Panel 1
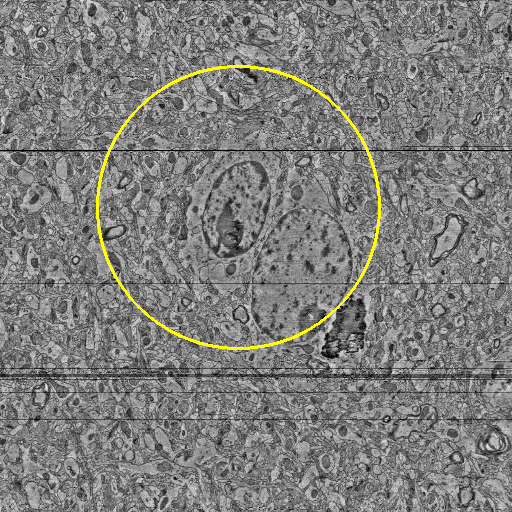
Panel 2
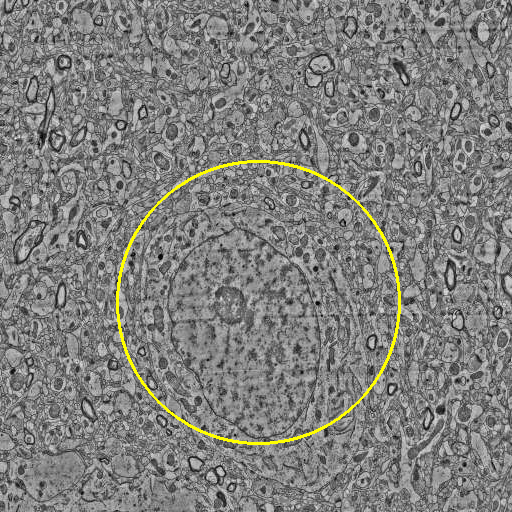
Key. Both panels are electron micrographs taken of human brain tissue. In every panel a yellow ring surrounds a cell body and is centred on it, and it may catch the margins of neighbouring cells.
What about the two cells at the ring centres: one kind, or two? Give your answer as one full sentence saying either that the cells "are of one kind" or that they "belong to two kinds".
Across Panels 1 and 2, the two cells at the ring centres belong to two kinds.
